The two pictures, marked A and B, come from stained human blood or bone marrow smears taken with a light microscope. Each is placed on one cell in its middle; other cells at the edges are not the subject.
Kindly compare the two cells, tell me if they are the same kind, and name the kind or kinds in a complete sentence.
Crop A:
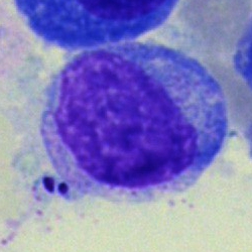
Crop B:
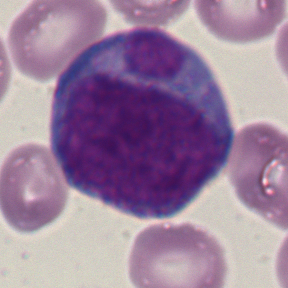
Yes, both crops show promyelocytes in the centre of the field.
